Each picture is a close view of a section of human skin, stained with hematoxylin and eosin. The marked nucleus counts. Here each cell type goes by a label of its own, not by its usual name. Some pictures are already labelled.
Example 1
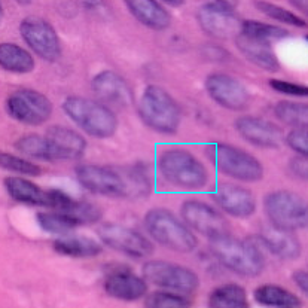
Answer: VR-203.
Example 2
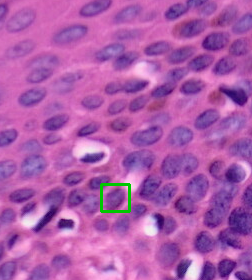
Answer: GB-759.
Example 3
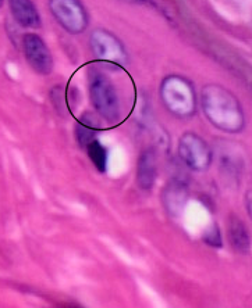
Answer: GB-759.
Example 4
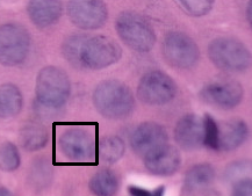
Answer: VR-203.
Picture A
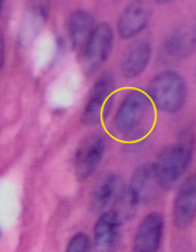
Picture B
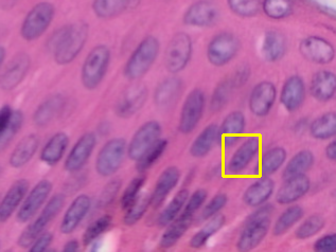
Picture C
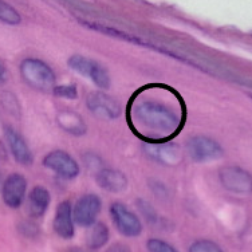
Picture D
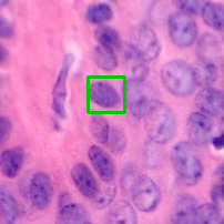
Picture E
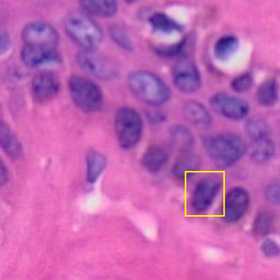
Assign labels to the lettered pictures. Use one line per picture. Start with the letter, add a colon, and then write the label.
A: GB-759.
B: VR-203.
C: VR-203.
D: GB-759.
E: GB-759.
